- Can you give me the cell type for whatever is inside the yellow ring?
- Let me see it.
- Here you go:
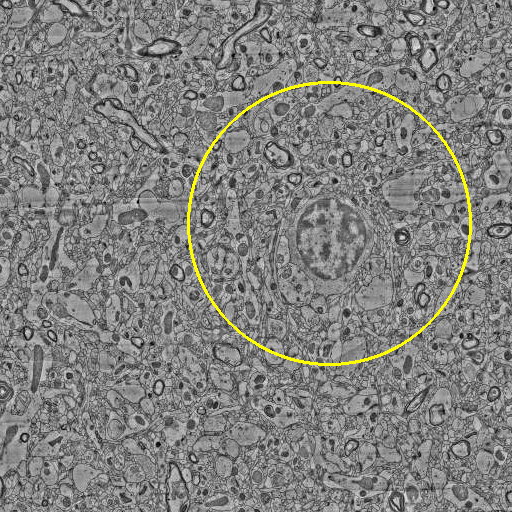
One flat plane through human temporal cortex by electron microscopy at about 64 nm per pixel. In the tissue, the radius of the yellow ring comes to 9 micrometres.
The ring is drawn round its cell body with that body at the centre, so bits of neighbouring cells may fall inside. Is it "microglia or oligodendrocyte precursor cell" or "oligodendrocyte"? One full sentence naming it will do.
The cell body in the middle of the ring in this picture belongs to an oligodendrocyte.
